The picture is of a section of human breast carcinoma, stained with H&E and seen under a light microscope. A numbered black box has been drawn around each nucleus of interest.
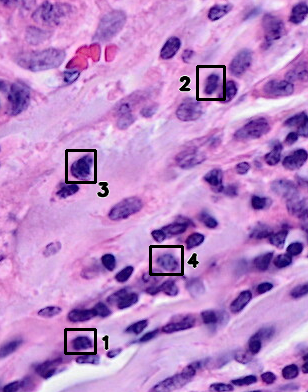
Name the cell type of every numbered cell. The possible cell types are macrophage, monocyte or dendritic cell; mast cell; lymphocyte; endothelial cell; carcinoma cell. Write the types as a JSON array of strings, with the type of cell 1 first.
["lymphocyte", "lymphocyte", "lymphocyte", "mast cell"]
